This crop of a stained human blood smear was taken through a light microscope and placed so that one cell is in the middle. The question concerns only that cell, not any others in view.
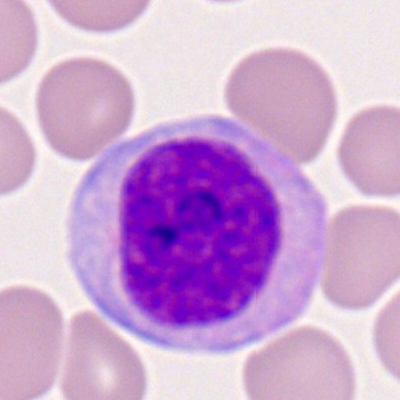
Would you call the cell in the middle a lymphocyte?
no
